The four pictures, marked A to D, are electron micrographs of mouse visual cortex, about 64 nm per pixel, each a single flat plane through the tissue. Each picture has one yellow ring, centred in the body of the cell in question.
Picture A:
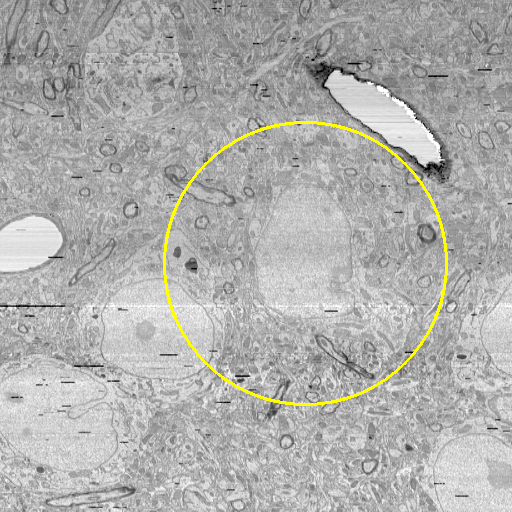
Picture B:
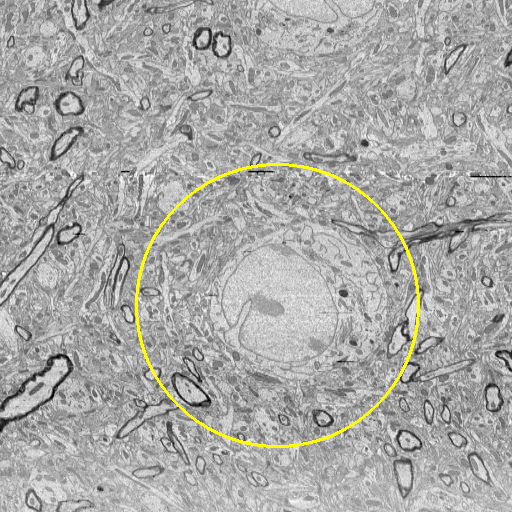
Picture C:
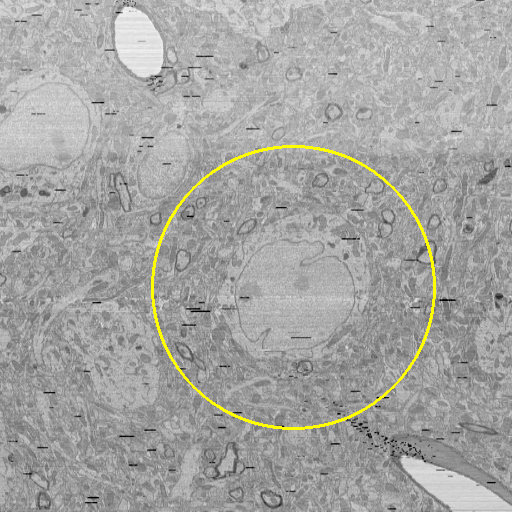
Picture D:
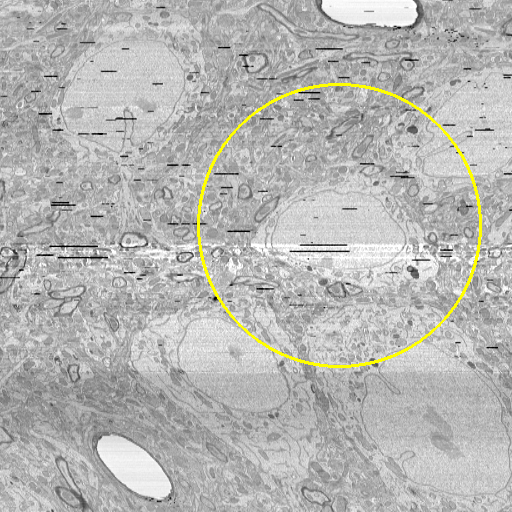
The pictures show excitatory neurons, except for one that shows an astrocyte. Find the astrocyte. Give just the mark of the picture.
A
